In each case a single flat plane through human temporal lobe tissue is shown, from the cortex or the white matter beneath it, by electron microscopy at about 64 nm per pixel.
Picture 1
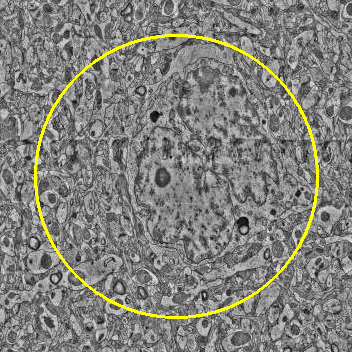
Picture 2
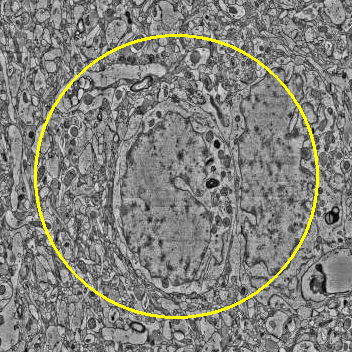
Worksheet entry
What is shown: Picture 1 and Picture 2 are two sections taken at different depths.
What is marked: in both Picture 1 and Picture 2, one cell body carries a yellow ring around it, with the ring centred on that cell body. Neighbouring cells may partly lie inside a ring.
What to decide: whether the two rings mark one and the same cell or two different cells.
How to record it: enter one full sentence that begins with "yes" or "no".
No, the two rings are drawn around two distinct cells.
